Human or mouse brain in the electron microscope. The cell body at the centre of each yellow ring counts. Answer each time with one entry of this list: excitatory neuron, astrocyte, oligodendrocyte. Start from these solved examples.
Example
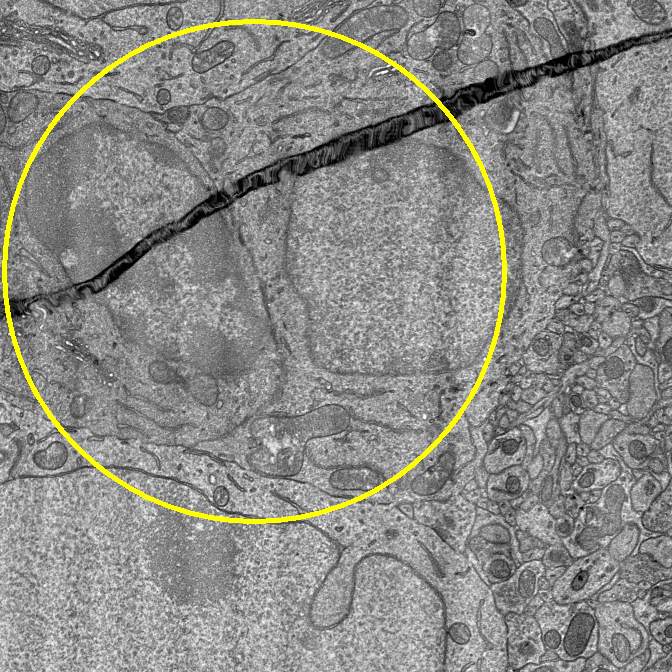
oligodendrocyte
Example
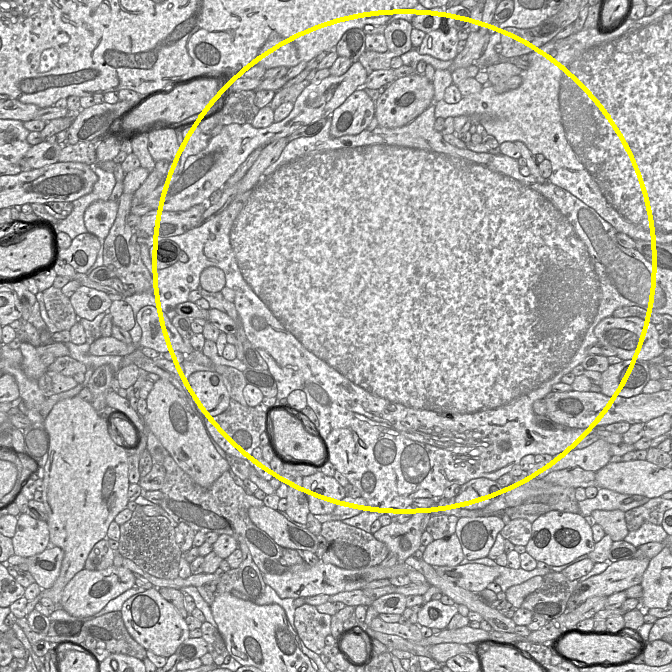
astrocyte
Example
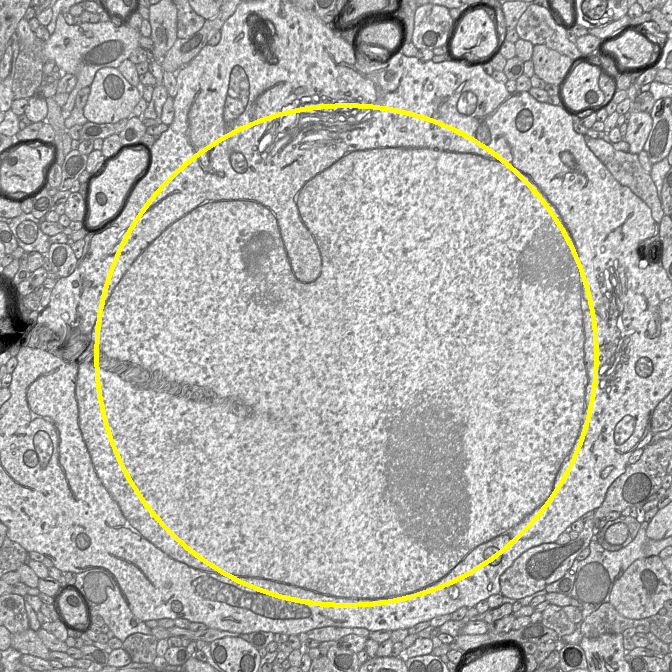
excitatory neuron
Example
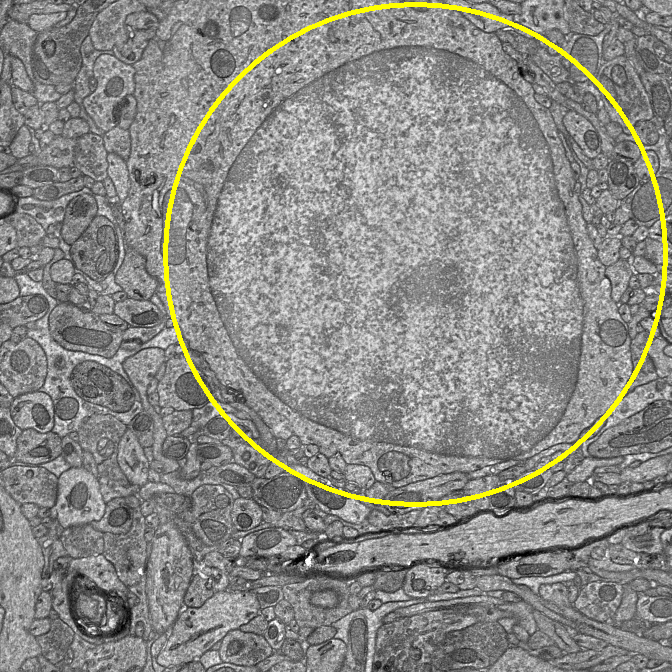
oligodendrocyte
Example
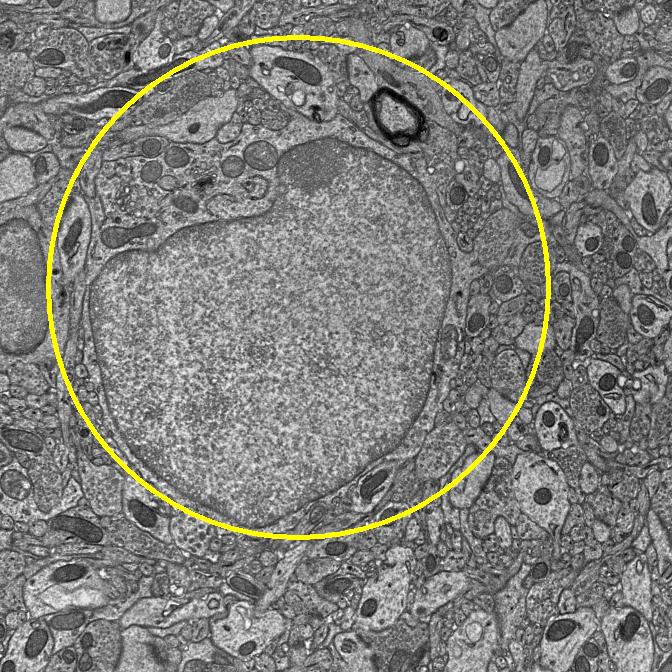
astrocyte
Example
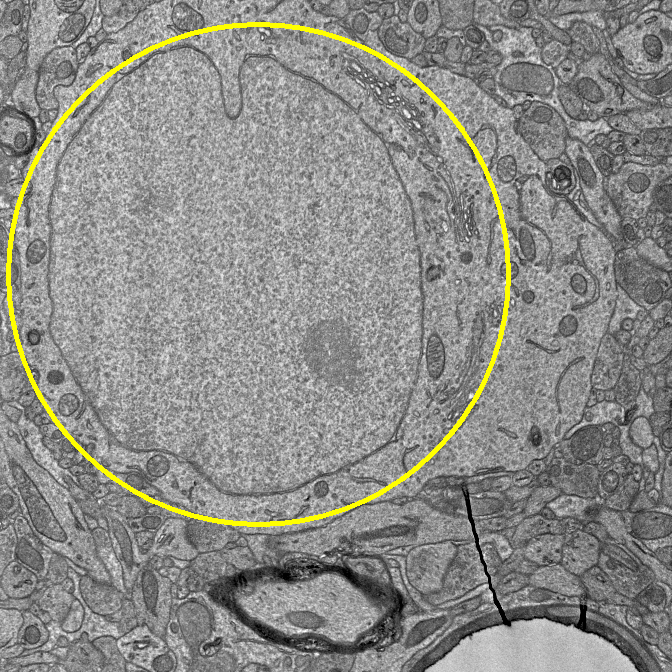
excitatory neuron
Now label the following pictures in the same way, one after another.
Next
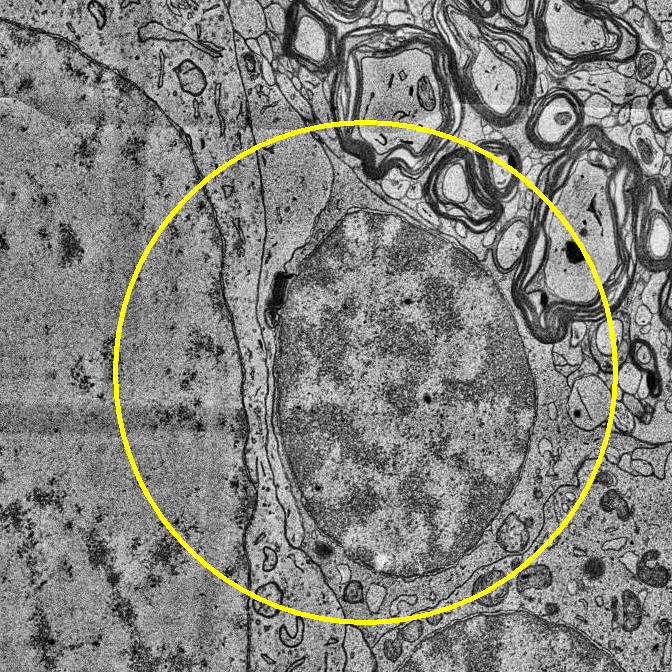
oligodendrocyte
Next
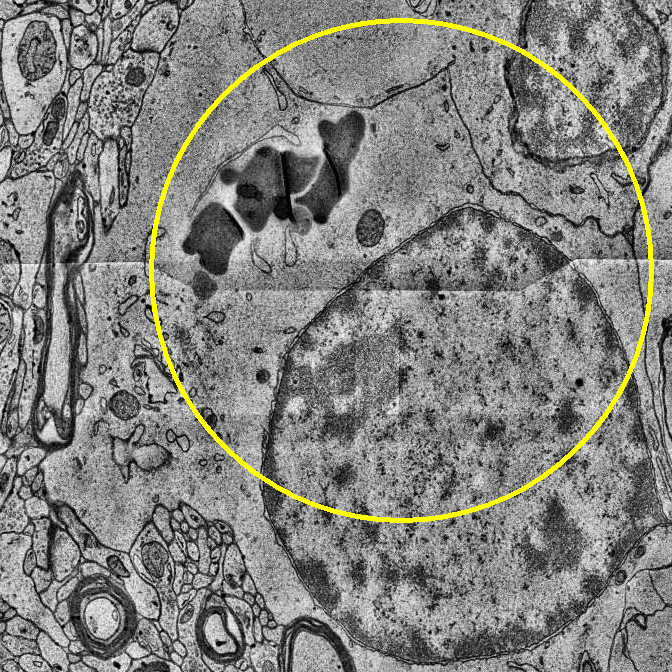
astrocyte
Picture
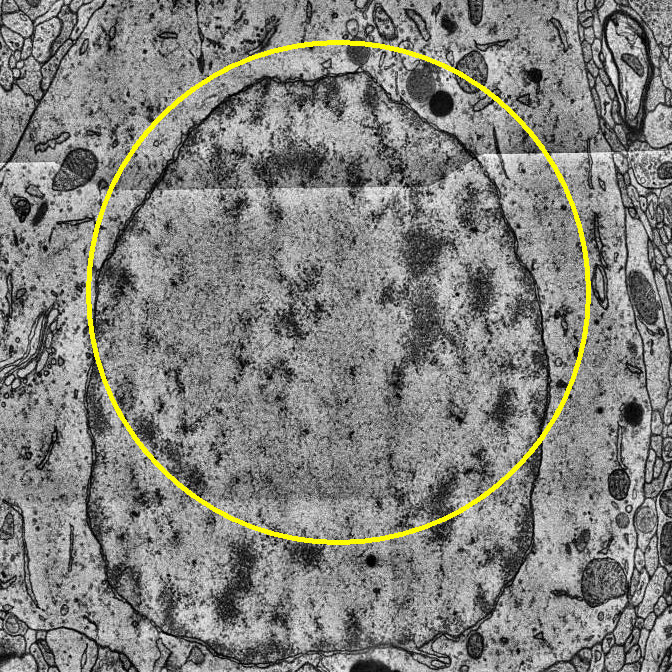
excitatory neuron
